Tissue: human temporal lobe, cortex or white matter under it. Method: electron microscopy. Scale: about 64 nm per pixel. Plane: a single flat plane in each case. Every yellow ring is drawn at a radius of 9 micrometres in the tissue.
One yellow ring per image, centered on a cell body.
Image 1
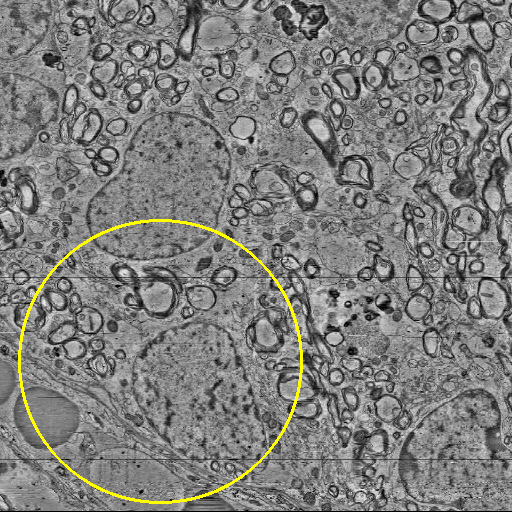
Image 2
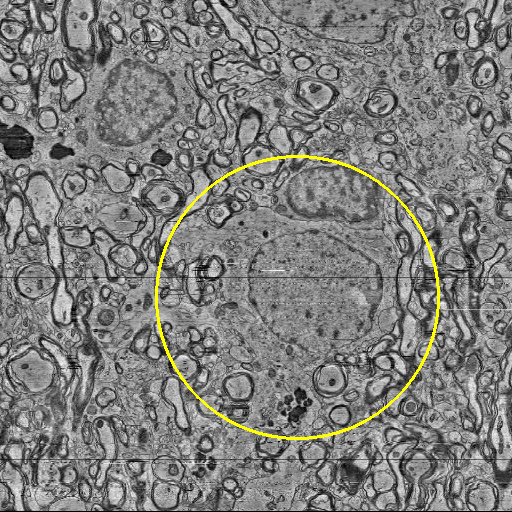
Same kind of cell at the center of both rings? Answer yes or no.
yes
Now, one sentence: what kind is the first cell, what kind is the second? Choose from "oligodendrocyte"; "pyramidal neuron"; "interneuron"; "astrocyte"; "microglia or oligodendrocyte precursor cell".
Both cells are the same kind, each one being an astrocyte.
